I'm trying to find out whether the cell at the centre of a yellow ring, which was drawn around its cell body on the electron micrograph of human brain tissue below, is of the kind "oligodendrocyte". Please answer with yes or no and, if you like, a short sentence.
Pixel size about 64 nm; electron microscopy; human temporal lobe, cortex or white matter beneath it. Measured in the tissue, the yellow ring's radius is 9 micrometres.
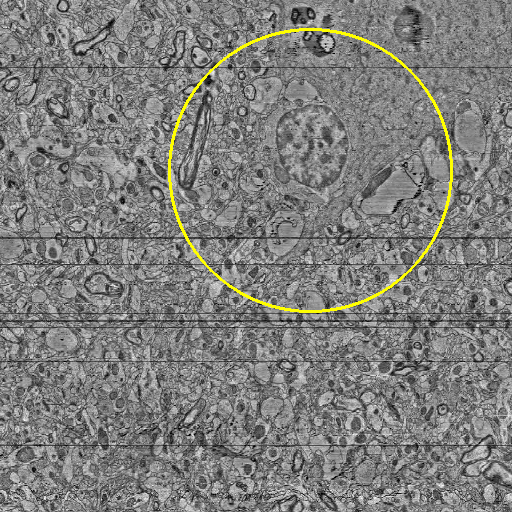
Yes, that cell is of the given kind.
